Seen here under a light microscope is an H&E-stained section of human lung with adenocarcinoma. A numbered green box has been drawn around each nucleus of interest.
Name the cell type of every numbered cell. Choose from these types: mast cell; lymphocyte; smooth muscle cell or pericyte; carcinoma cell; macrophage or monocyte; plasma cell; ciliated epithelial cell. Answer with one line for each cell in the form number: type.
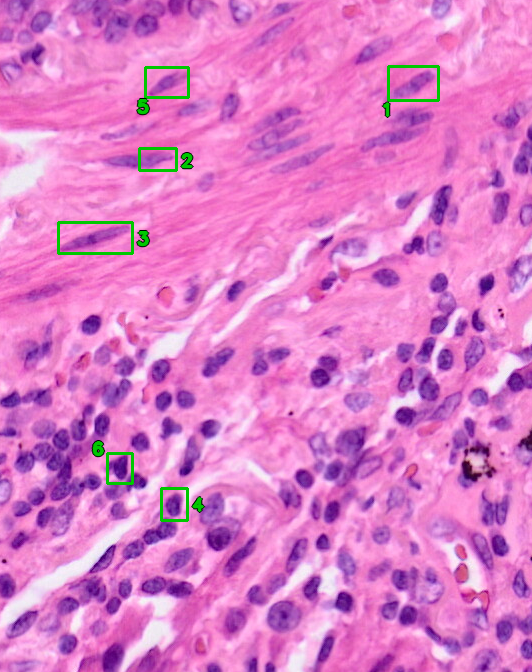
1: smooth muscle cell or pericyte
2: smooth muscle cell or pericyte
3: smooth muscle cell or pericyte
4: lymphocyte
5: smooth muscle cell or pericyte
6: lymphocyte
